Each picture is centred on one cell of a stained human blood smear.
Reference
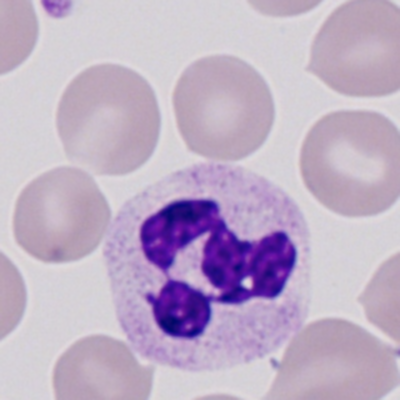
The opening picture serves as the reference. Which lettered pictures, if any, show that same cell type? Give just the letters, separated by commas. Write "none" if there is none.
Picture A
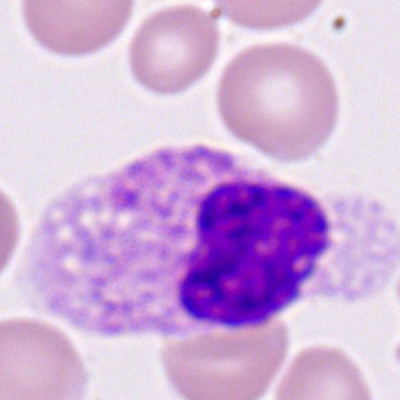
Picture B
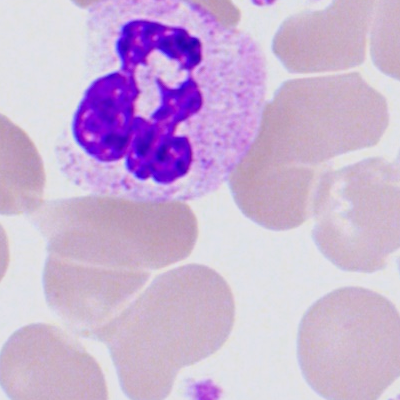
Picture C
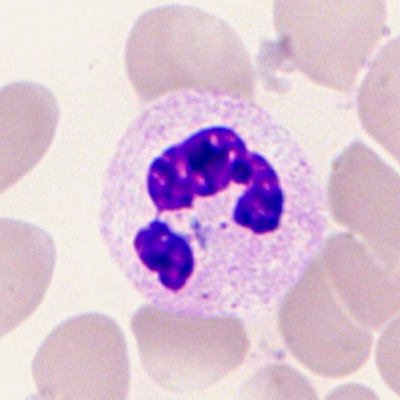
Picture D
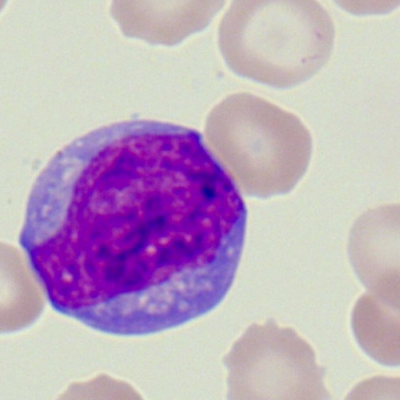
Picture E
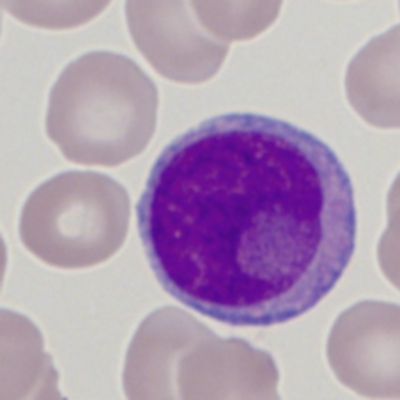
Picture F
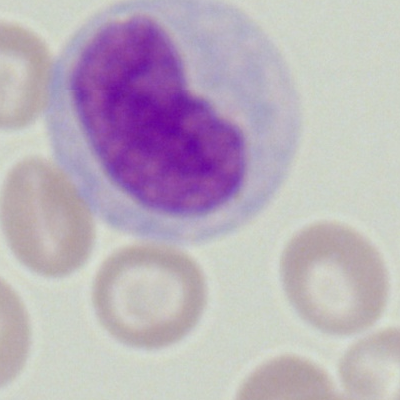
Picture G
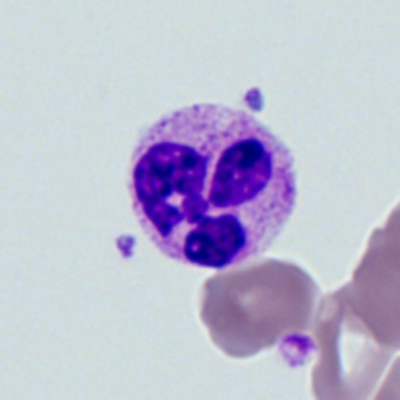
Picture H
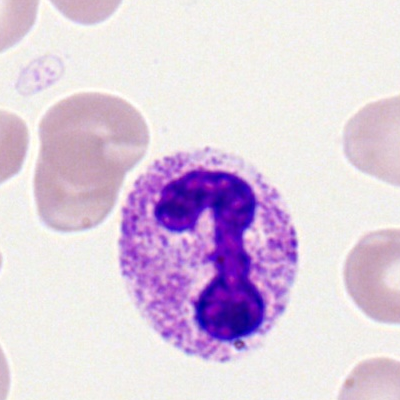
A, B, C, G, H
